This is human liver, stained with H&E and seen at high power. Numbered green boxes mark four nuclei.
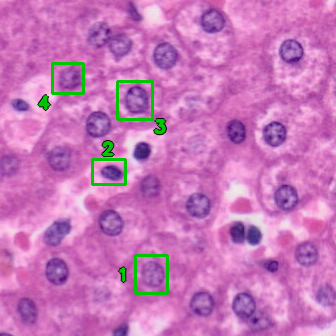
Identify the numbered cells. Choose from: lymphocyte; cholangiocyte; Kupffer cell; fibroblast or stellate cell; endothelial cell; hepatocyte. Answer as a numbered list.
1. hepatocyte
2. lymphocyte
3. hepatocyte
4. hepatocyte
